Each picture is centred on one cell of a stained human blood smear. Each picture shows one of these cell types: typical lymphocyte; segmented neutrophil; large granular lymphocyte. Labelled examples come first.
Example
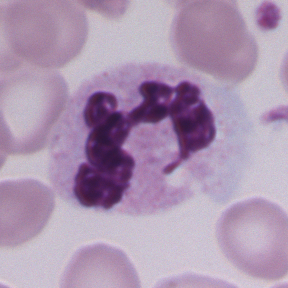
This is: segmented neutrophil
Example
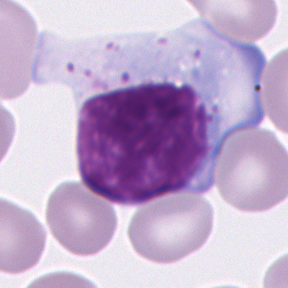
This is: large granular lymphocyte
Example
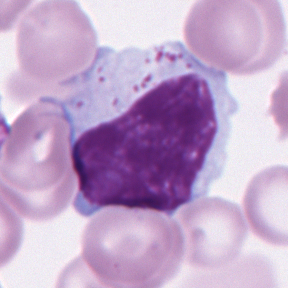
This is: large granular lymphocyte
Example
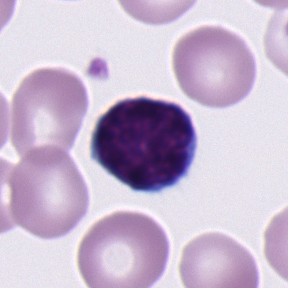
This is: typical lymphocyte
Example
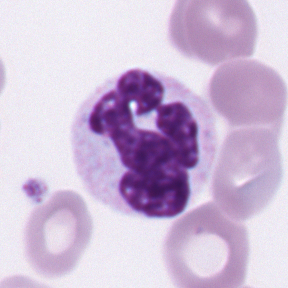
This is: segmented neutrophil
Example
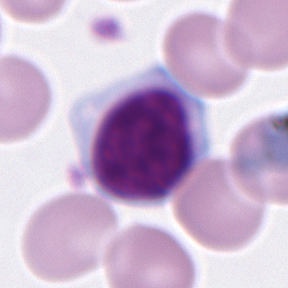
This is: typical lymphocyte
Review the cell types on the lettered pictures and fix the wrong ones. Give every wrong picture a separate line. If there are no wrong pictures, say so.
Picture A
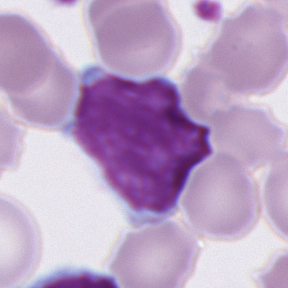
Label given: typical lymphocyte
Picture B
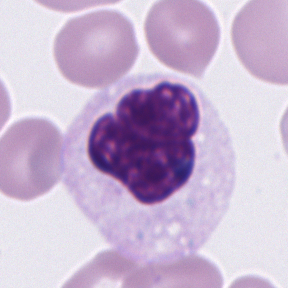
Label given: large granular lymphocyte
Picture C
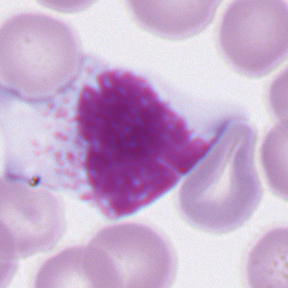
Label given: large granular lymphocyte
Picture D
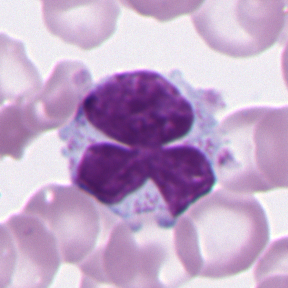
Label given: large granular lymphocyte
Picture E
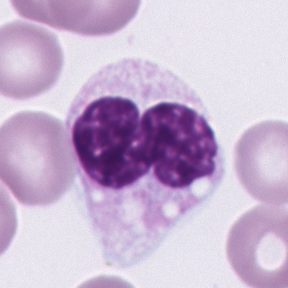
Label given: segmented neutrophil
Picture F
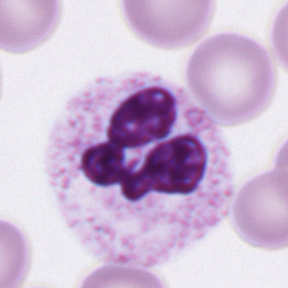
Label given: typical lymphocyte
B is labelled large granular lymphocyte; correct label: segmented neutrophil
F is labelled typical lymphocyte; correct label: segmented neutrophil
